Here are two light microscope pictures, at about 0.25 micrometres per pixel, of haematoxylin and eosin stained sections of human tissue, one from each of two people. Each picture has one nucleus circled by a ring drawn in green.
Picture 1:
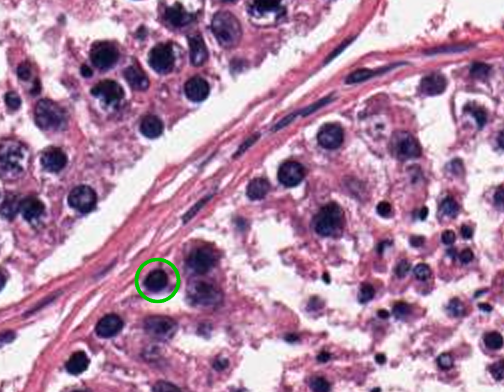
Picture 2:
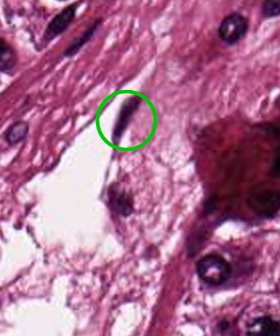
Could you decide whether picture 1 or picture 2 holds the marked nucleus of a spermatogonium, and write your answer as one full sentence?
In picture 1, the marked nucleus is part of a spermatogonium, which is not so in the other picture.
